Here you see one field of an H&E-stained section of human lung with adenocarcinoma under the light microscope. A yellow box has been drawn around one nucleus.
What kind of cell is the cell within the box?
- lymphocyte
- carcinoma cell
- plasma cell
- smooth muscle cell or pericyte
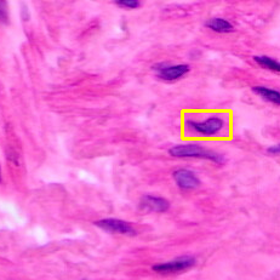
smooth muscle cell or pericyte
